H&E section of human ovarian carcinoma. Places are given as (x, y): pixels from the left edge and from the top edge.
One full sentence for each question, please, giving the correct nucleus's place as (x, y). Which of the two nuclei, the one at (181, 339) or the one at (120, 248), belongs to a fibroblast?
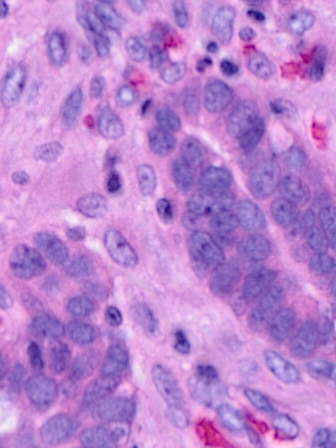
The nucleus of a fibroblast is the one found at (120, 248), not the other.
